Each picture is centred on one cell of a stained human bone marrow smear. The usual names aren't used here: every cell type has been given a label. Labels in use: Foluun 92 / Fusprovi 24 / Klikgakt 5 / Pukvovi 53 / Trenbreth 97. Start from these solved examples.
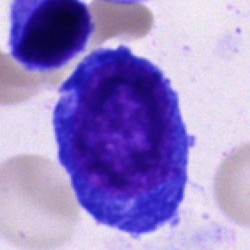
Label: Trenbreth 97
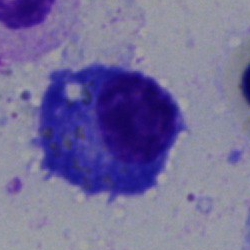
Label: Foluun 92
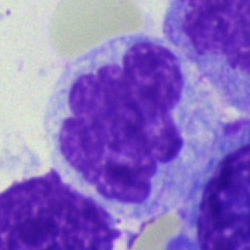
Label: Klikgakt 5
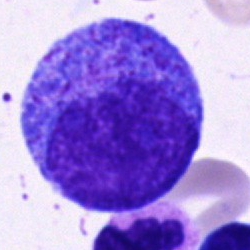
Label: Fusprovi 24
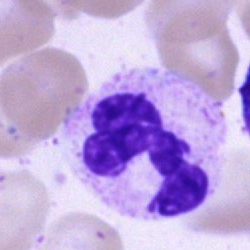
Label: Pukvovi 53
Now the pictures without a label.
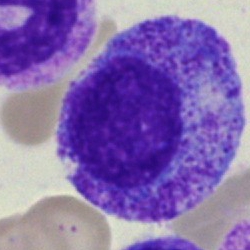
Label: Fusprovi 24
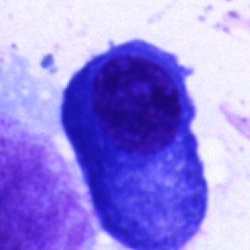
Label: Foluun 92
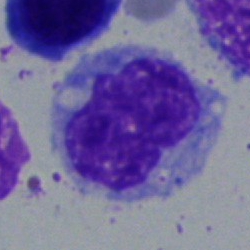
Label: Klikgakt 5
